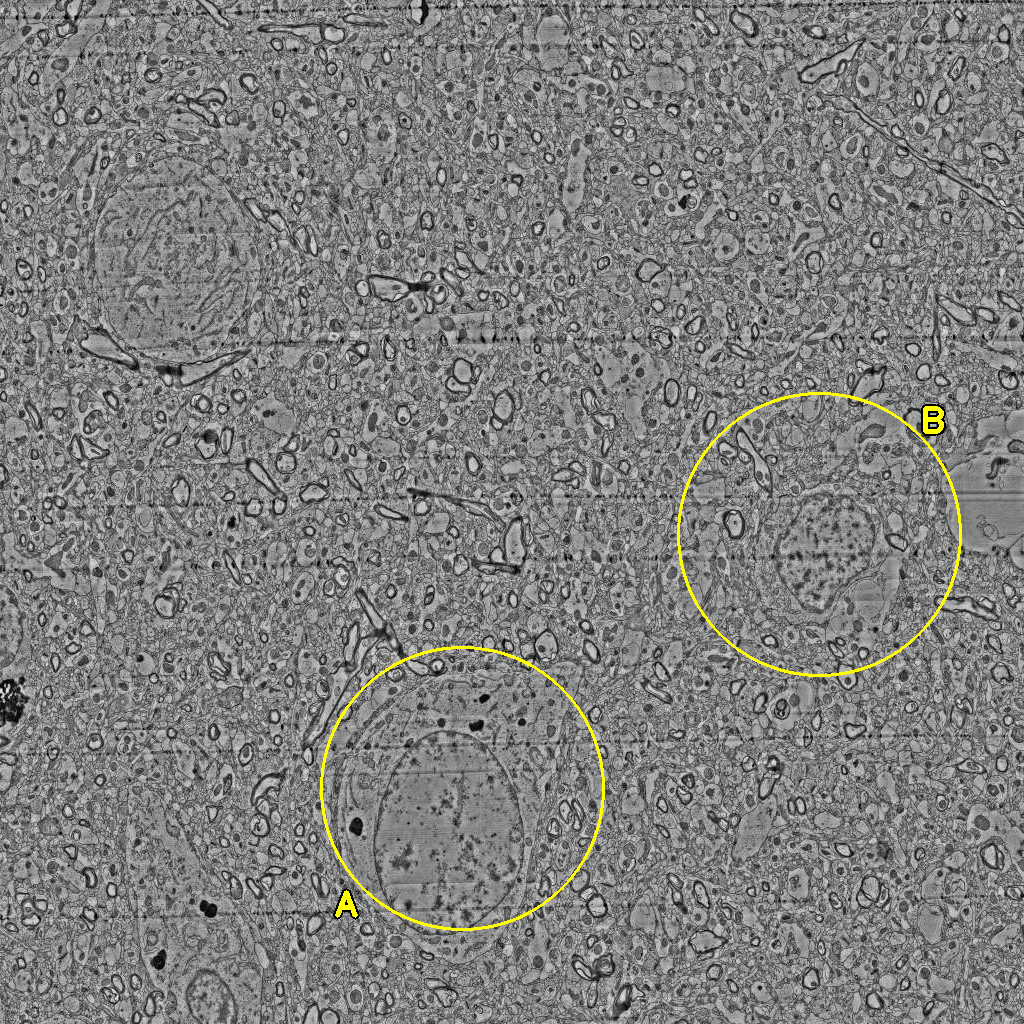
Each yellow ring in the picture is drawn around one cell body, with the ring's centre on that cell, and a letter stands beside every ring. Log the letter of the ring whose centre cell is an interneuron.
B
